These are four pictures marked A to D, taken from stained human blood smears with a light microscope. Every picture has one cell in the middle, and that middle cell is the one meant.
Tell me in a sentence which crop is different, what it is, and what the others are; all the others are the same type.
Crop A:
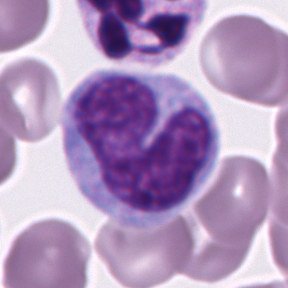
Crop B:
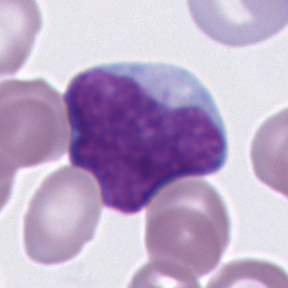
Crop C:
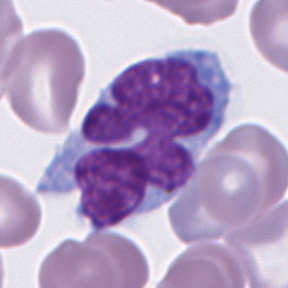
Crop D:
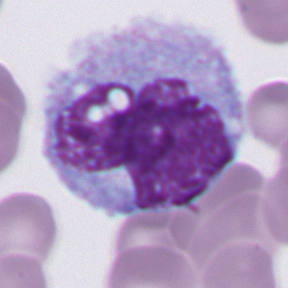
Although the other crops all show monocytes, crop B shows a myeloblast.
